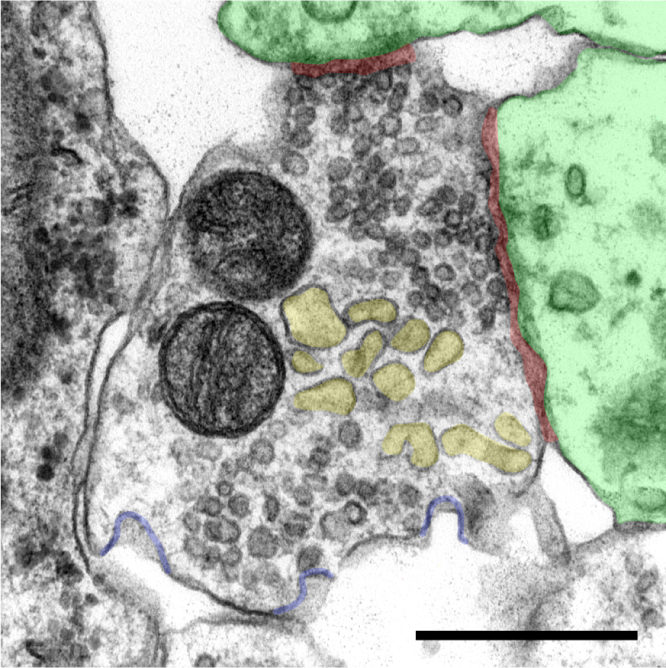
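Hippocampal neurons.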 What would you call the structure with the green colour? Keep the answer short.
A: postsynapse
